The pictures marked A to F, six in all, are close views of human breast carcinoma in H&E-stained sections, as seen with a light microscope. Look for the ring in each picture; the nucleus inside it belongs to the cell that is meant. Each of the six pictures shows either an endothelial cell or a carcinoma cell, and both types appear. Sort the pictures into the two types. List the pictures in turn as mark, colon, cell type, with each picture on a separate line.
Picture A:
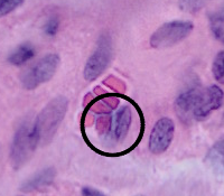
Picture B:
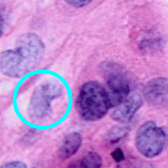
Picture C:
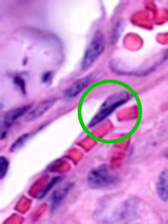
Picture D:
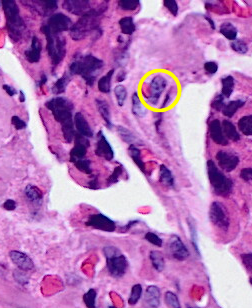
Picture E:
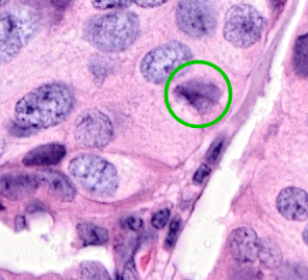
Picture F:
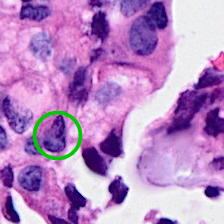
A: endothelial cell
B: carcinoma cell
C: endothelial cell
D: endothelial cell
E: carcinoma cell
F: carcinoma cell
